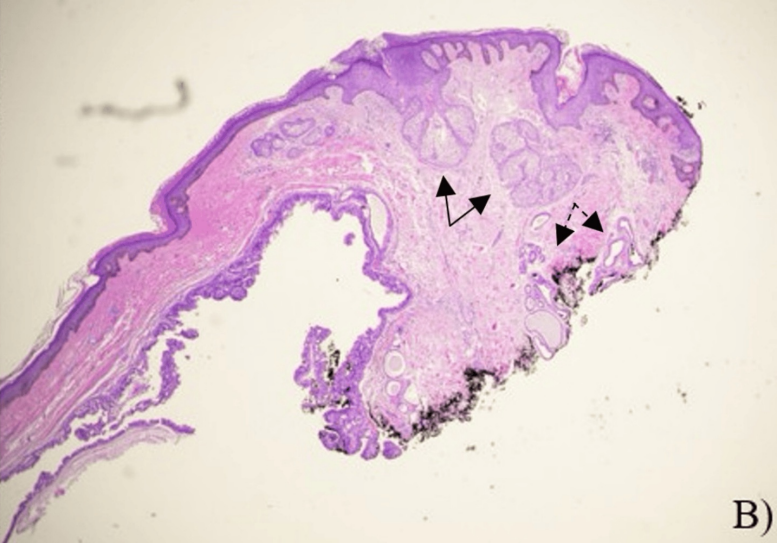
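Skin with a markedly thickened, papillomatous epidermis forming a raised, folded surface. The underlying dermis contains several large, lobulated clusters of pale cells lying close beneath the epidermis. Deeper in the dermis are small round glands with open lumina. Papillary epithelial fronds extend from the lower edge of the fragment.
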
